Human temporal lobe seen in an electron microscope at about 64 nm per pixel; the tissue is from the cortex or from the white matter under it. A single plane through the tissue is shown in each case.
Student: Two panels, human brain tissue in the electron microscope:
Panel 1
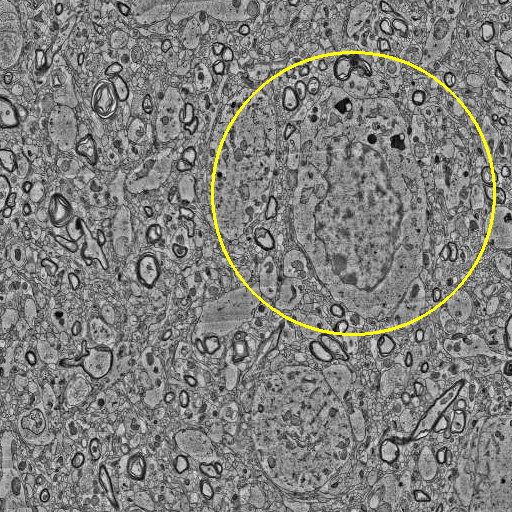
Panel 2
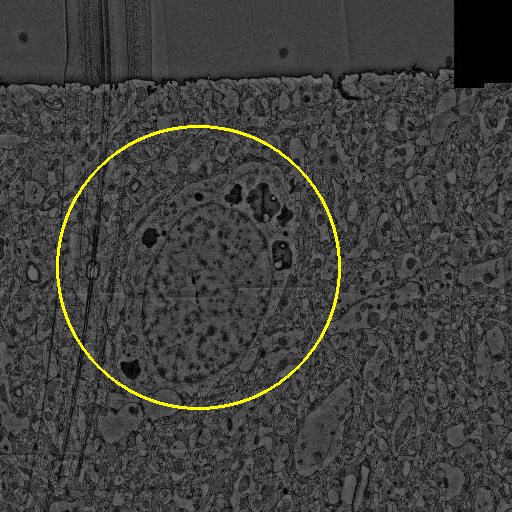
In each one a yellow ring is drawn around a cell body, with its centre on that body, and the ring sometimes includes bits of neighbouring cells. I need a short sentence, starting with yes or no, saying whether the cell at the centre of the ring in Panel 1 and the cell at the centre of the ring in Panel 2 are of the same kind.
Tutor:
Yes, they are the same kind of cell.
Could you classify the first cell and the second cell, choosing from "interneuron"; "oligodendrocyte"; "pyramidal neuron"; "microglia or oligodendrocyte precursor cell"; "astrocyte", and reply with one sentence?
In each of the two pictures, the ringed cell is an interneuron.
